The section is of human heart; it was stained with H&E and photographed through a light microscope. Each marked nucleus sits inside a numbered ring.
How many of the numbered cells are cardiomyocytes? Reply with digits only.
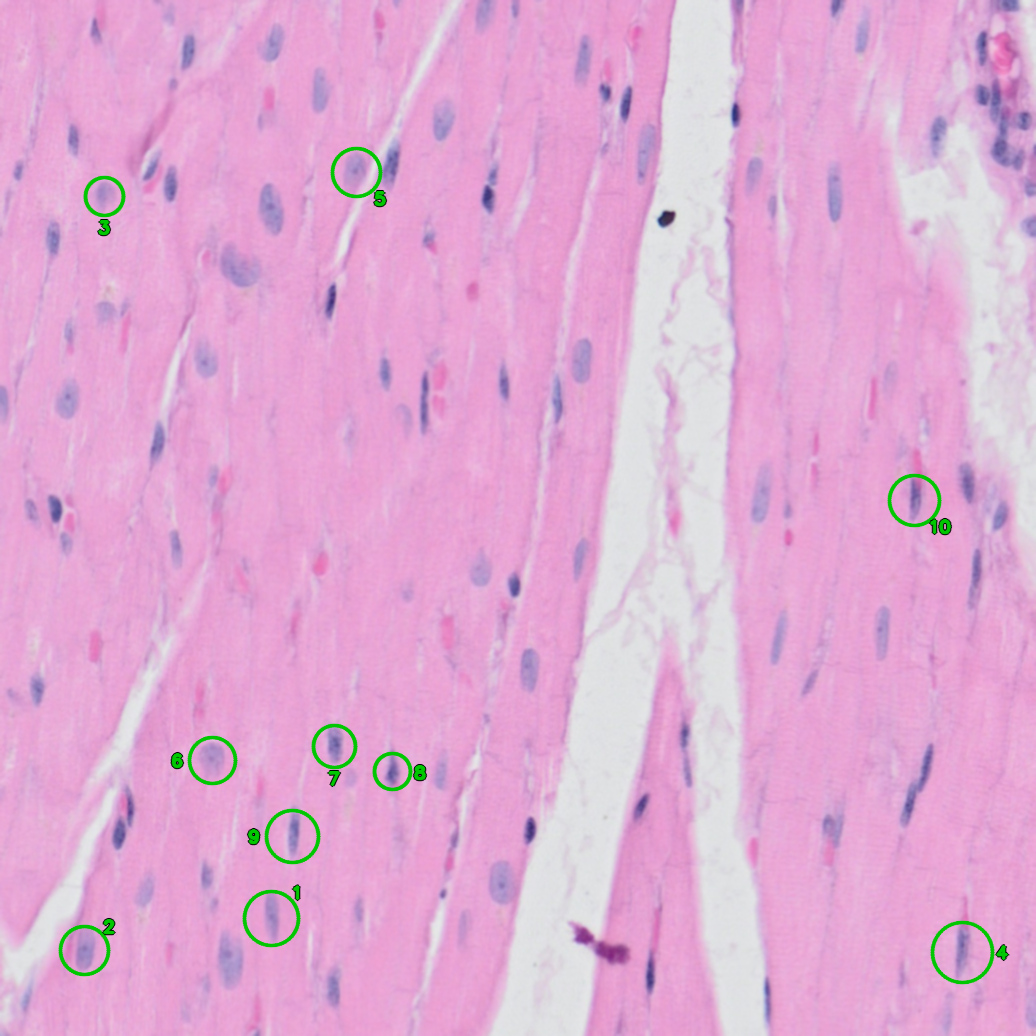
5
